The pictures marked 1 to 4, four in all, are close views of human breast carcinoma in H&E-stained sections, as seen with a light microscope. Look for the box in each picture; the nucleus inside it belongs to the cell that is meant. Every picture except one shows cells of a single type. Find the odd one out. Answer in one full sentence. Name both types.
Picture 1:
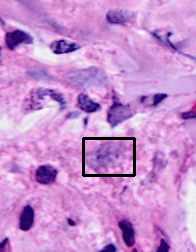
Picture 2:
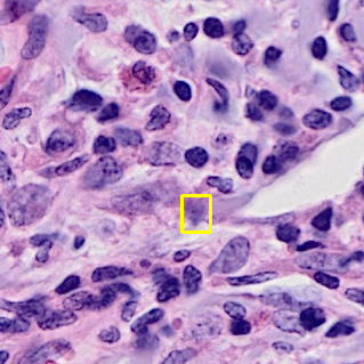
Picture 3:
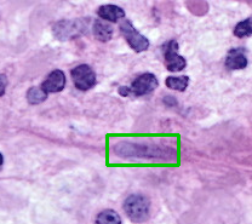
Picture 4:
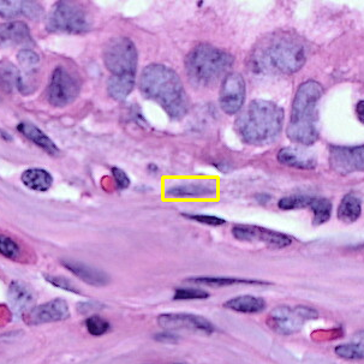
Picture 2 differs, because its cell is a “macrophage, monocyte or dendritic cell” and the rest are fibroblasts.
